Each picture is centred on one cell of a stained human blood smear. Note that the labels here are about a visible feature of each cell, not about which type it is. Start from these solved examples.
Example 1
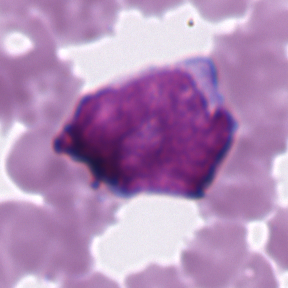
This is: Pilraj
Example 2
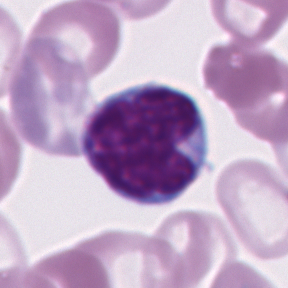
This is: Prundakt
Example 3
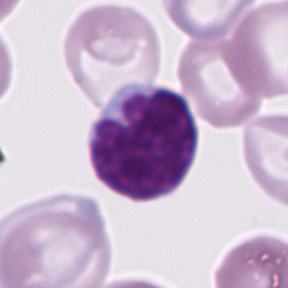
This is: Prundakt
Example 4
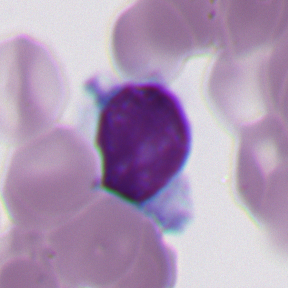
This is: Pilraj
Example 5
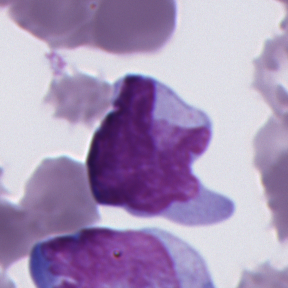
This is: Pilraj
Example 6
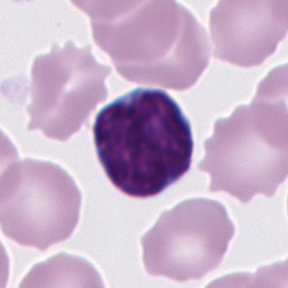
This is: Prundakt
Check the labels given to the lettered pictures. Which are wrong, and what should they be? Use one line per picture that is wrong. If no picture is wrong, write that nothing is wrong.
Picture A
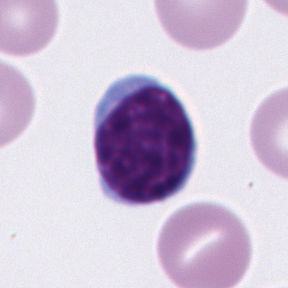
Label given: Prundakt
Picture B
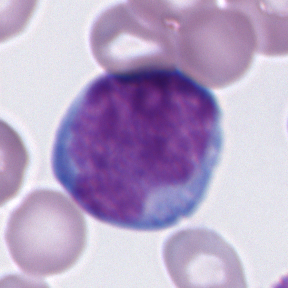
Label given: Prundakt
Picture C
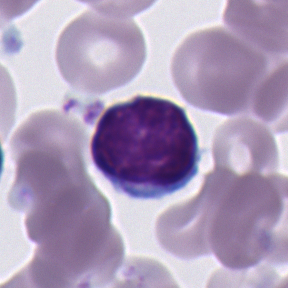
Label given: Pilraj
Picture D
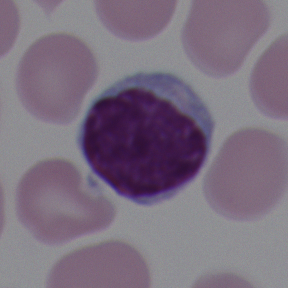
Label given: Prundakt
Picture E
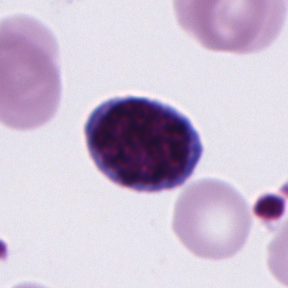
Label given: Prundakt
C: not Pilraj but Prundakt
D: not Prundakt but Pilraj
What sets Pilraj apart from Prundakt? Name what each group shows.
Pilraj, ragged outline or projections; Prundakt, smooth outline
